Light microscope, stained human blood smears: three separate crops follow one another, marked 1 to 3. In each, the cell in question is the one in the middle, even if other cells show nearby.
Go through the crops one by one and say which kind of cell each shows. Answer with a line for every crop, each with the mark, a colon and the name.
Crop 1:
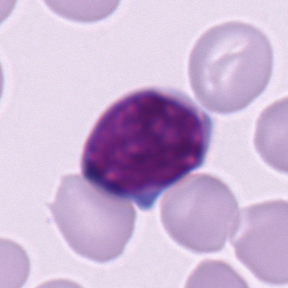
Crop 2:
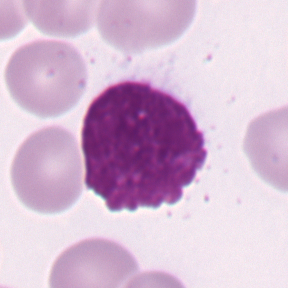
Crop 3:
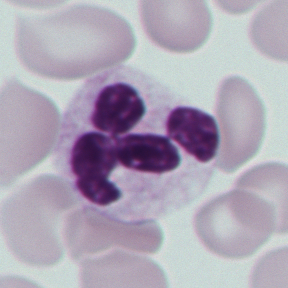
1: typical lymphocyte
2: smudge cell
3: segmented neutrophil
